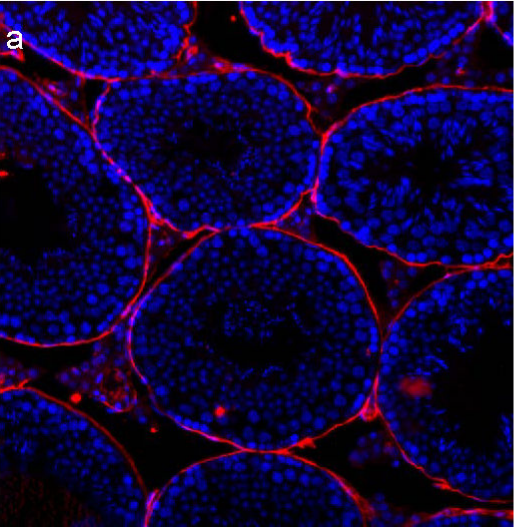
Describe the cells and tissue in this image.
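Cross-sections of round seminiferous tubules of the testis are packed closely together. Each tubule has a thick, stratified epithelium of many layers of blue nuclei around a central lumen. A thin red line outlines each tubule, and small triangular interstitial spaces between the tubules hold scattered nuclei and red-stained profiles.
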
